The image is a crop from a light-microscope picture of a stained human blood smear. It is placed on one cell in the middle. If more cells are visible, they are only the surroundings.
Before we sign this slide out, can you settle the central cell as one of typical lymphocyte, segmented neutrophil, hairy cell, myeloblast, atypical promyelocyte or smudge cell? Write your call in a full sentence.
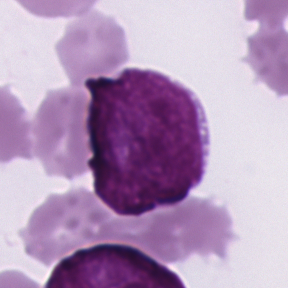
The centrally placed cell is classified as a myeloblast.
